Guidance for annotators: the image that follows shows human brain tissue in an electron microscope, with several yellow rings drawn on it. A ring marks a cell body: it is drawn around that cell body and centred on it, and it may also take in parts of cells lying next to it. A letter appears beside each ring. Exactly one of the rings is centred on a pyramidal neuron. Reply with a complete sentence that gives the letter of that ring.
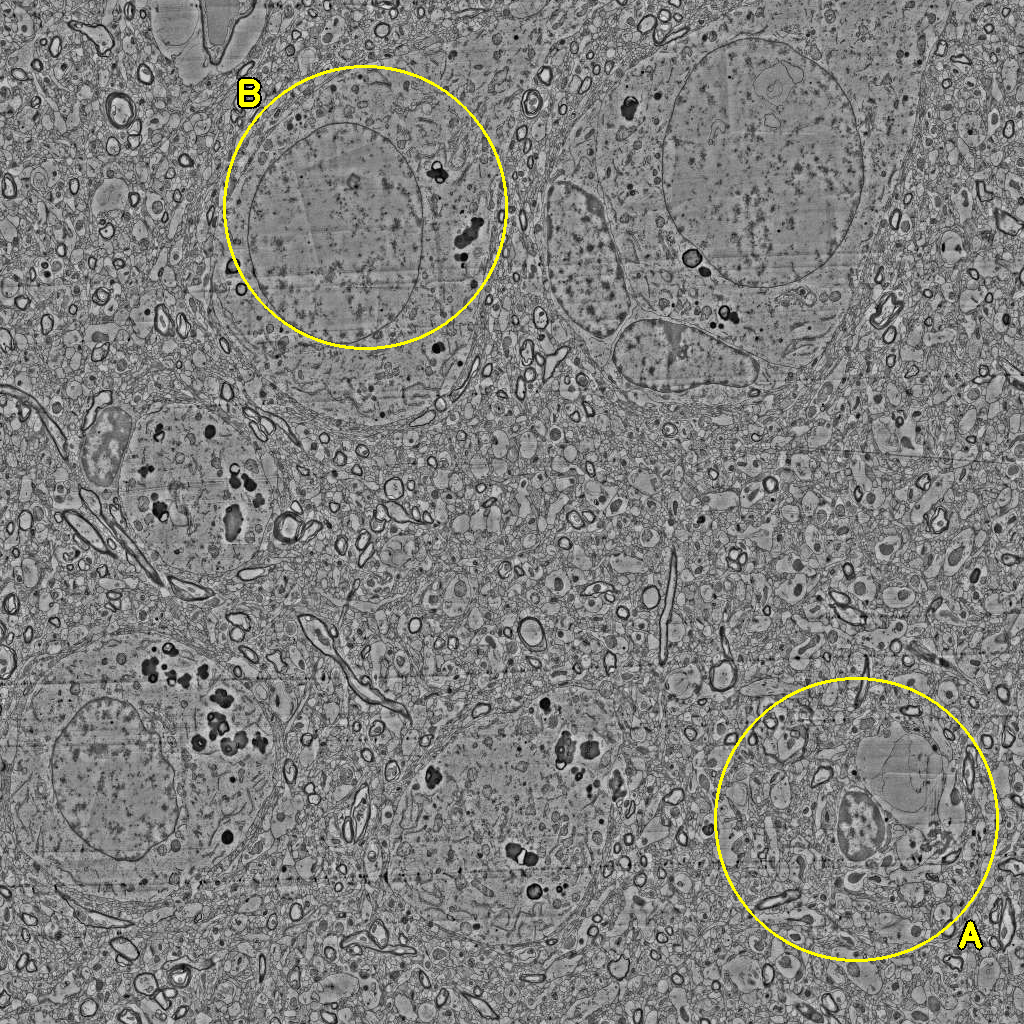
The ring lettered B is centred on that cell.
